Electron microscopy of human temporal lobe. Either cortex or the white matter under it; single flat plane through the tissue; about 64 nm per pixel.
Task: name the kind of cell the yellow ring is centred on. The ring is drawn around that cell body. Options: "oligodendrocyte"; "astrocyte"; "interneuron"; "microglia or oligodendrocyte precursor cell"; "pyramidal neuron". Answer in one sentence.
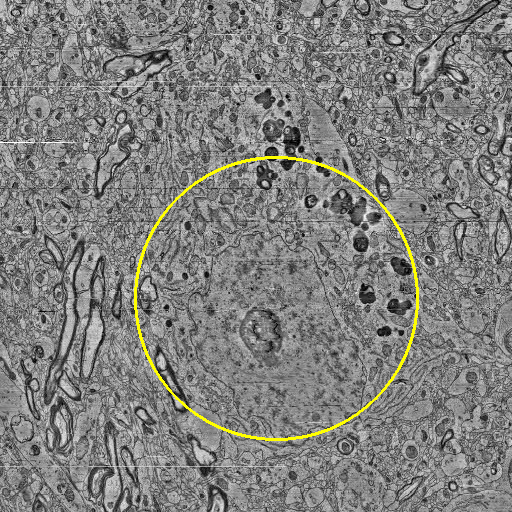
This cell body belongs to an interneuron.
